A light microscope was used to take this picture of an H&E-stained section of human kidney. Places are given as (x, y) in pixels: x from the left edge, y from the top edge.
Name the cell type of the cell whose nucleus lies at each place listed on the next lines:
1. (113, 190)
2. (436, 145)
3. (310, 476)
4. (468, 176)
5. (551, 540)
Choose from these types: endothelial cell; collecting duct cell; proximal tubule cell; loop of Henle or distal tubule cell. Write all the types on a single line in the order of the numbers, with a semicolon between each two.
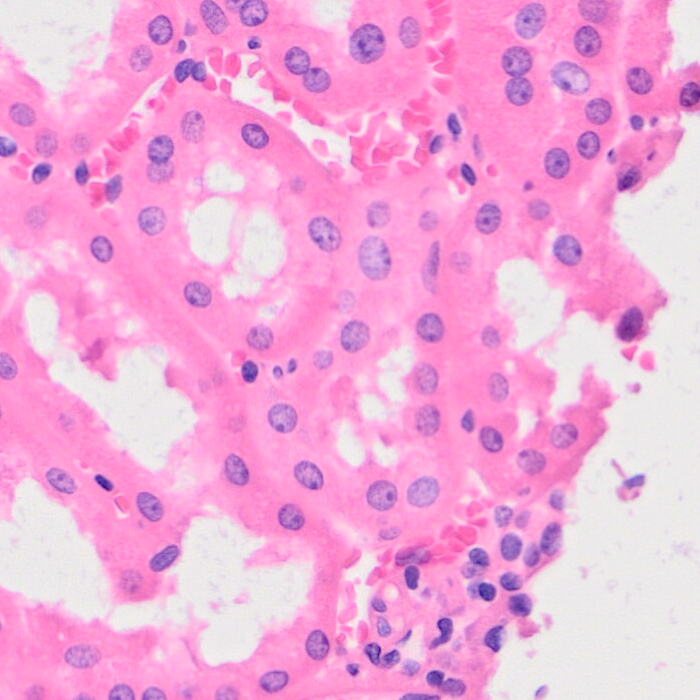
endothelial cell; endothelial cell; proximal tubule cell; endothelial cell; collecting duct cell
